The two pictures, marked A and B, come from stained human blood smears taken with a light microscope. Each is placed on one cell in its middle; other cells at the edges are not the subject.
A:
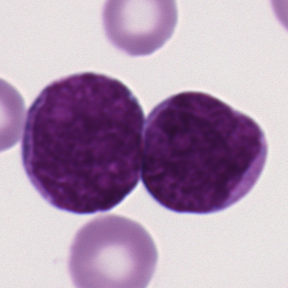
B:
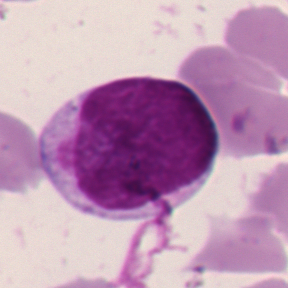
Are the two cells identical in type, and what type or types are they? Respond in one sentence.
Yes, both crops show myeloblasts as their central cells.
